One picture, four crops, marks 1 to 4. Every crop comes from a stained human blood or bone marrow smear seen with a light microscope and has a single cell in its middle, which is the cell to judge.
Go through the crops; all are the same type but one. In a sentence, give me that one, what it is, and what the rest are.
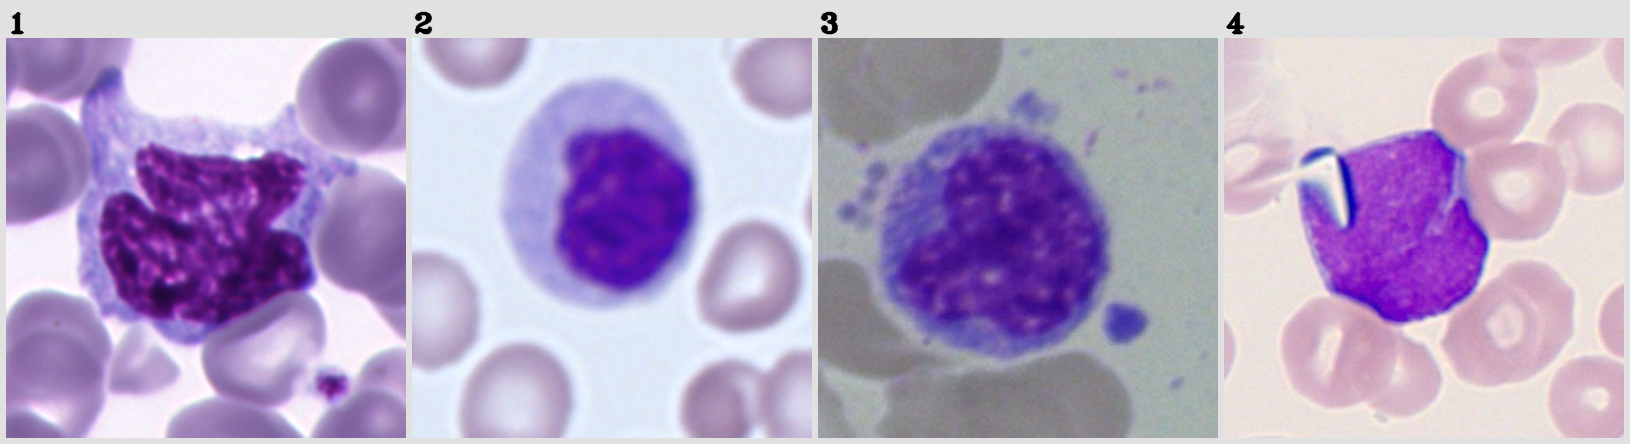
The one crop not showing monocytes is crop 4, which shows a blast.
